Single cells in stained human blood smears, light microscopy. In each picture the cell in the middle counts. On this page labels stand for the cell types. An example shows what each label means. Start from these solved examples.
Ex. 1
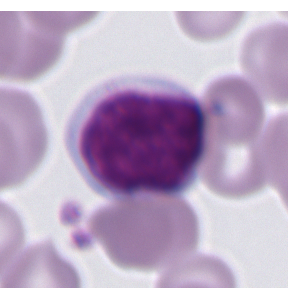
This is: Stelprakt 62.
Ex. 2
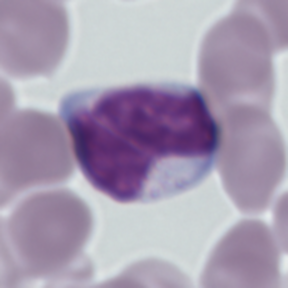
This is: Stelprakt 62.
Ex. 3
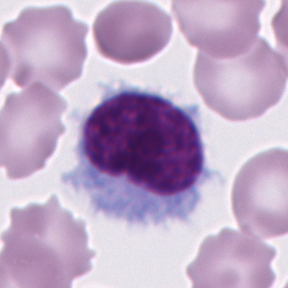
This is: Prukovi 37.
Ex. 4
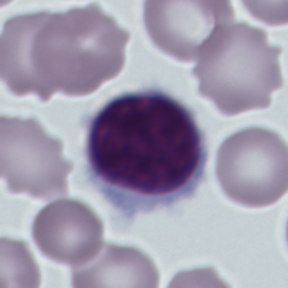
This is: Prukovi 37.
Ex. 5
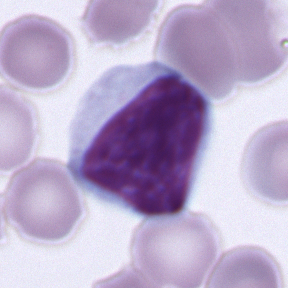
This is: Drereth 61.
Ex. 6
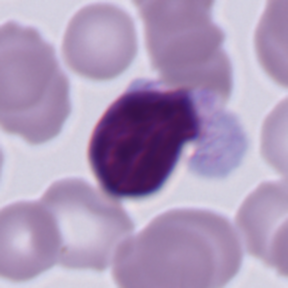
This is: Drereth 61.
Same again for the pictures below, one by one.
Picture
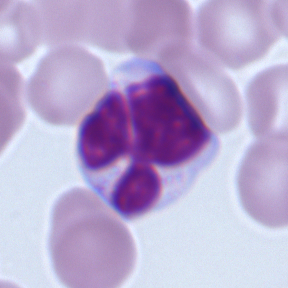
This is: Stelprakt 62.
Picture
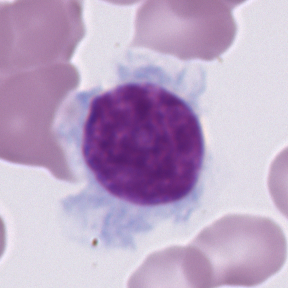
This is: Prukovi 37.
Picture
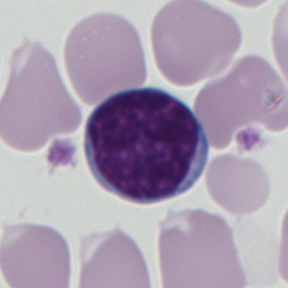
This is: Drereth 61.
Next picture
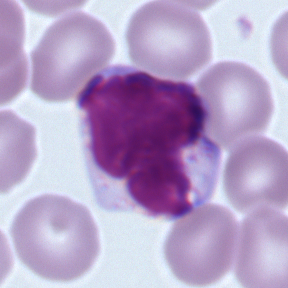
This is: Stelprakt 62.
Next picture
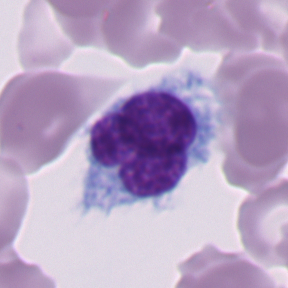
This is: Prukovi 37.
